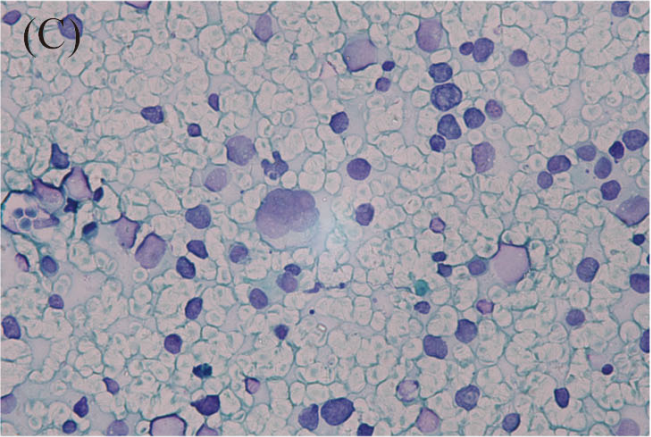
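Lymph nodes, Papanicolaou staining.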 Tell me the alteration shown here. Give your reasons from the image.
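A large cell near the centre holds several overlapping nuclei. Other cells scattered around have a single nucleus. The answer: binucleated and multinucleated cells.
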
